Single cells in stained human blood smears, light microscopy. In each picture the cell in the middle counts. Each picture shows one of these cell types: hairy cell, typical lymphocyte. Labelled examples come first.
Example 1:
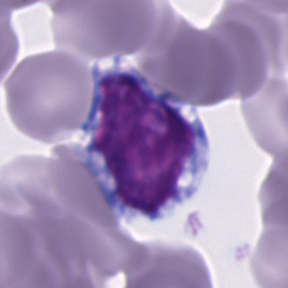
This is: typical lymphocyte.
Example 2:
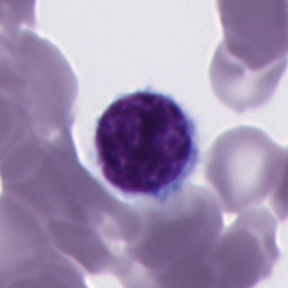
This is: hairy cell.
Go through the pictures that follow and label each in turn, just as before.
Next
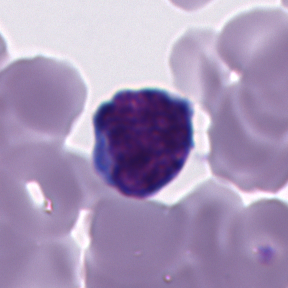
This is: typical lymphocyte.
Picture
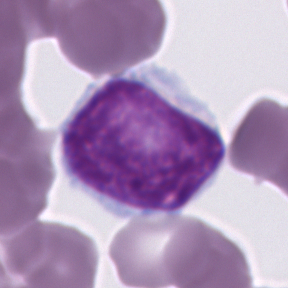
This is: hairy cell.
